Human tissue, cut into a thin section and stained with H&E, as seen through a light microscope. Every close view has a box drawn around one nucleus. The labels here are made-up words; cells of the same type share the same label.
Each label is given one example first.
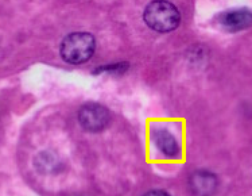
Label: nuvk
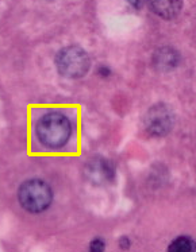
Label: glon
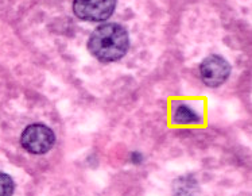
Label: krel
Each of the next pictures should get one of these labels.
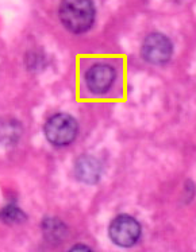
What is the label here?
glon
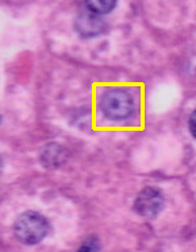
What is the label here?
glon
